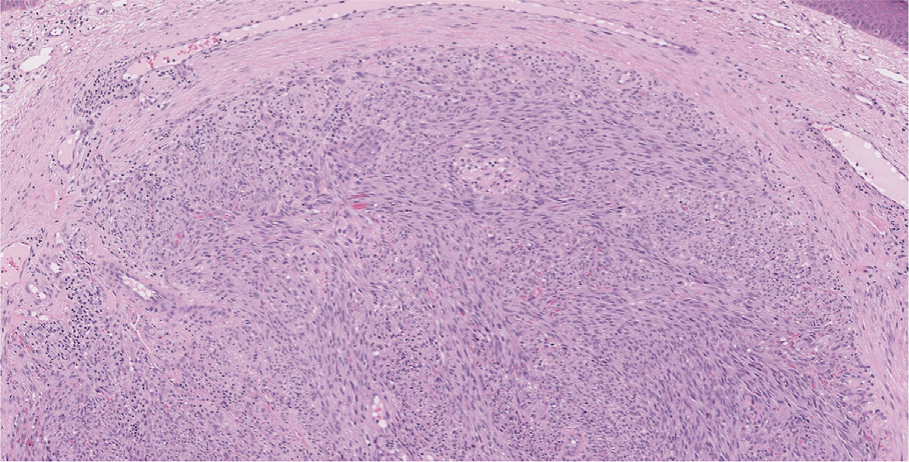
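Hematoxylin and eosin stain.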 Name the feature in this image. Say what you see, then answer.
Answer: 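Intersecting fascicles of atypical spindle cells. Spindle cells are arranged in bundles running in different directions. The bundles cross one another within the nodule.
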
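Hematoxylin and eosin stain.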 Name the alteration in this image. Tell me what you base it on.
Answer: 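A rounded, well-demarcated nodule fills most of the field. The nodule is packed with elongated, spindle-shaped nuclei. Paler, less cellular fibrous tissue surrounds the nodule.
Densely cellular, nodular spindle cell neoplasm.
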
